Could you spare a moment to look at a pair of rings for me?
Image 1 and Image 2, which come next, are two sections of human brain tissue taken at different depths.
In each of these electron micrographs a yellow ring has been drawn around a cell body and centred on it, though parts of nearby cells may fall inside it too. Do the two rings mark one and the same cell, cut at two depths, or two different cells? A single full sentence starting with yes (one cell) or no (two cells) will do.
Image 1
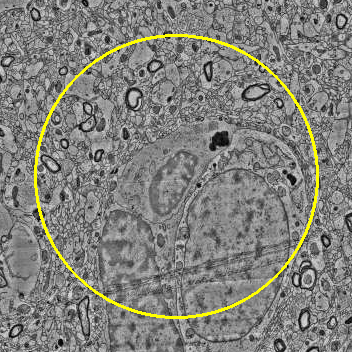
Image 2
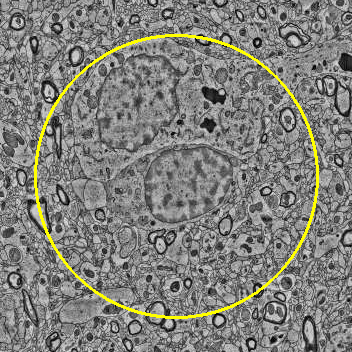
No, the rings single out two cells that are separate from each other.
